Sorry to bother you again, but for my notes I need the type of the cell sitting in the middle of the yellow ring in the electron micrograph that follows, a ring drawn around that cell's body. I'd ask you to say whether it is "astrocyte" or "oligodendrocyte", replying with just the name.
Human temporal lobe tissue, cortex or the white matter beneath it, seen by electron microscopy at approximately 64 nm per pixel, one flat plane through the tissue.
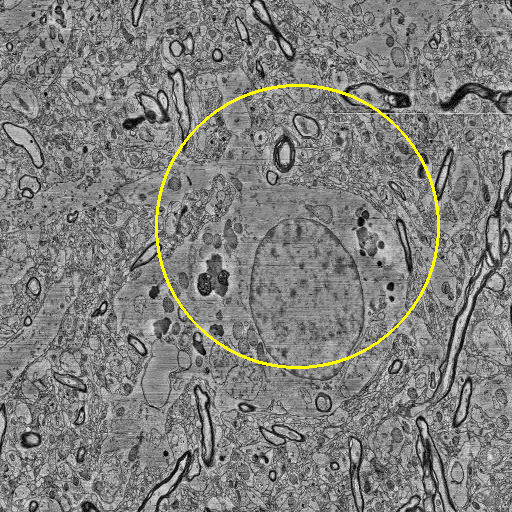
astrocyte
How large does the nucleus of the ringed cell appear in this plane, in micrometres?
About 11 by 7 micrometers in this plane, so the nucleus is clearly longer than it is wide.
